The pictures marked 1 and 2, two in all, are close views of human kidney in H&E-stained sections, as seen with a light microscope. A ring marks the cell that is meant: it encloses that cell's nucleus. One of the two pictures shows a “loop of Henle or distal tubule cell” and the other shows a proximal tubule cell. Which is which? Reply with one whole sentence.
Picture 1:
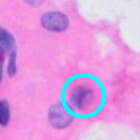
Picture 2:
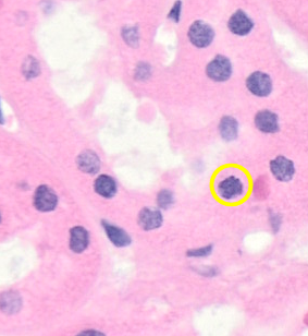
The cell in picture 1 is a proximal tubule cell, and the one in picture 2 is a “loop of Henle or distal tubule cell”.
